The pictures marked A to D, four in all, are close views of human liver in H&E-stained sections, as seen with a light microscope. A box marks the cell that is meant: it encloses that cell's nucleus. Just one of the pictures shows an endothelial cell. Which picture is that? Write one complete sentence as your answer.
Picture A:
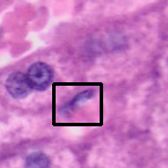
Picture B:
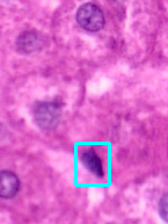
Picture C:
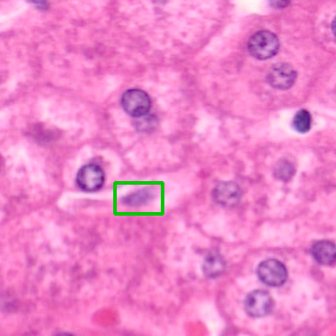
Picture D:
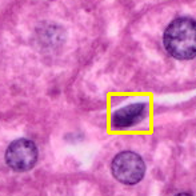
The cell in picture A is the endothelial cell.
